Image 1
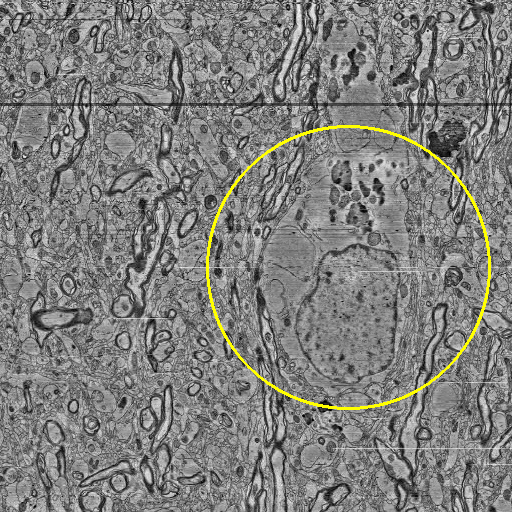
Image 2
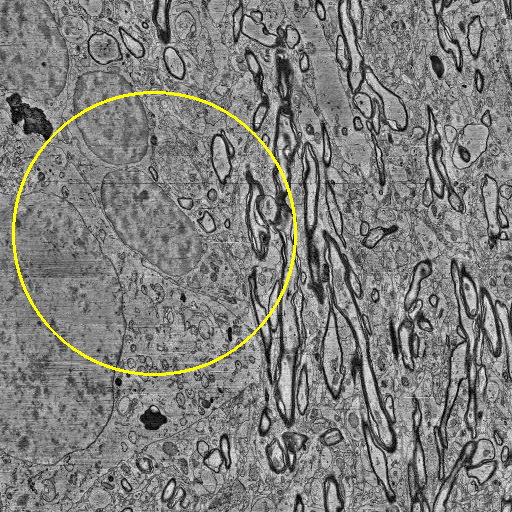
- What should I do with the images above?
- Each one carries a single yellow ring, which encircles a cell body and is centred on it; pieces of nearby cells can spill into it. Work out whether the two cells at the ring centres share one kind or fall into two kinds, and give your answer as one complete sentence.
The ring-centre cells of Image 1 and Image 2 fall into two kinds.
